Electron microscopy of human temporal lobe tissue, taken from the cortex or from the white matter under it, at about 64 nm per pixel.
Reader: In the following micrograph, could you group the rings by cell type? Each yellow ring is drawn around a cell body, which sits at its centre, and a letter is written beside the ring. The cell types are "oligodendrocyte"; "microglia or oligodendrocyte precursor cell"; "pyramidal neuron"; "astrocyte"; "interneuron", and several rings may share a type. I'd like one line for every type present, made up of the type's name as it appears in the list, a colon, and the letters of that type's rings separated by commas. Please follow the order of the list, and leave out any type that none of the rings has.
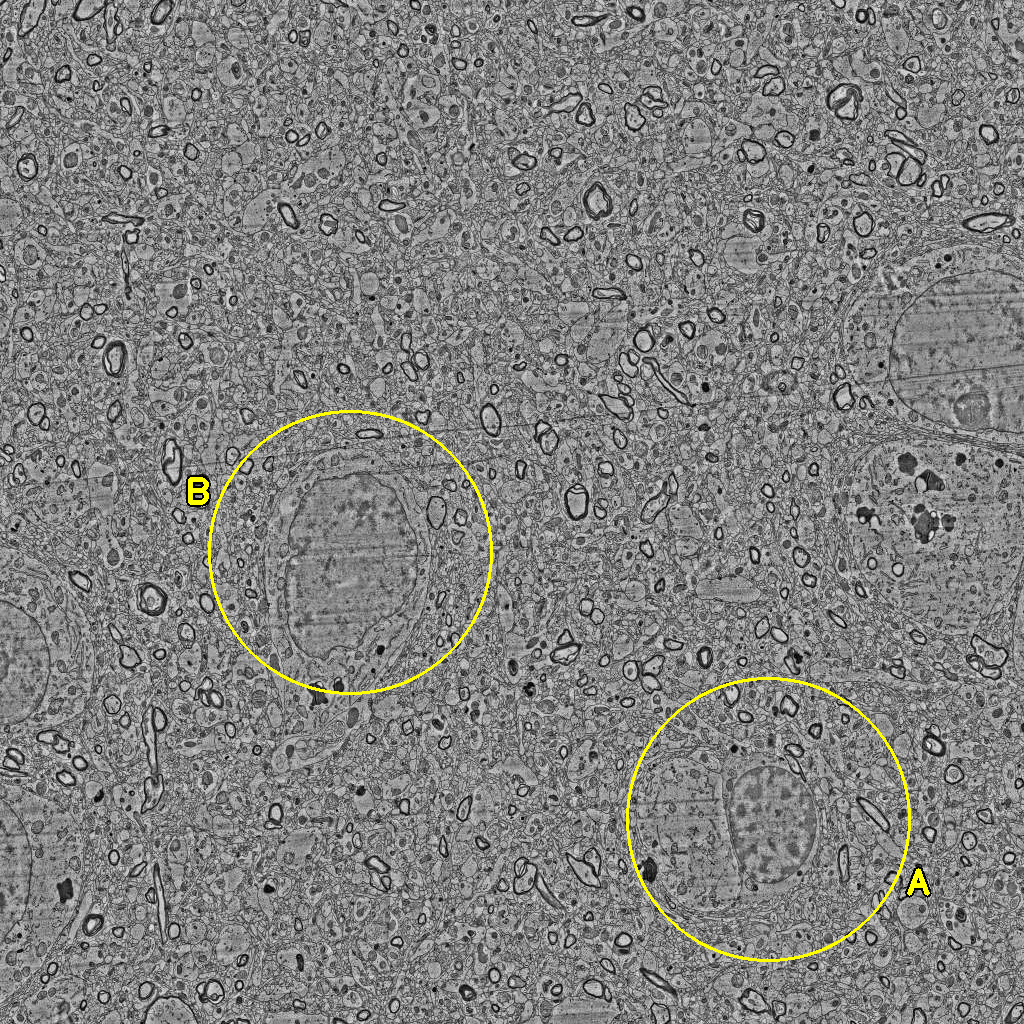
oligodendrocyte: A
interneuron: B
